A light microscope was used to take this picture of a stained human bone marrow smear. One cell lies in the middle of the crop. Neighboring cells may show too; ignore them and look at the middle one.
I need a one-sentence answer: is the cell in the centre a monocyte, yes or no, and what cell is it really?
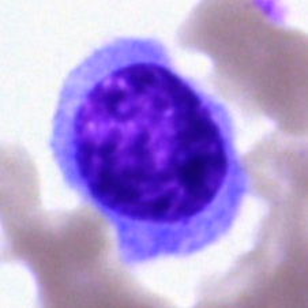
No, the cell sitting in the centre of the crop is a hairy cell, not a monocyte.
